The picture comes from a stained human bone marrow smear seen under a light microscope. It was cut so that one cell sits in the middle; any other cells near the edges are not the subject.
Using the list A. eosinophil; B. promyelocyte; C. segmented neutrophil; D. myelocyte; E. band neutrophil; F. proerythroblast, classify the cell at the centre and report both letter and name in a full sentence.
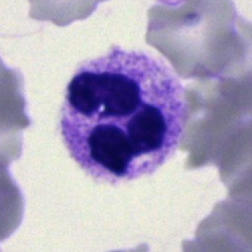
Option C is correct in naming the middle cell a segmented neutrophil.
